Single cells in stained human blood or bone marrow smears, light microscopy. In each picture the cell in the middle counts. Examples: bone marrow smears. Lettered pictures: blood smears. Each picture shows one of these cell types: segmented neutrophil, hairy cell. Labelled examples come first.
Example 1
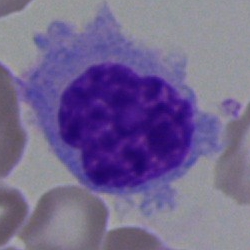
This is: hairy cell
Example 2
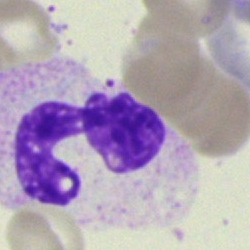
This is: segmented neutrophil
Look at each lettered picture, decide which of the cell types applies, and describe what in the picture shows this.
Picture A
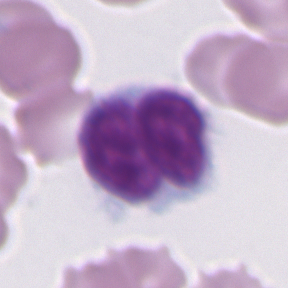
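hairy cell. The nucleus fills most of the cell.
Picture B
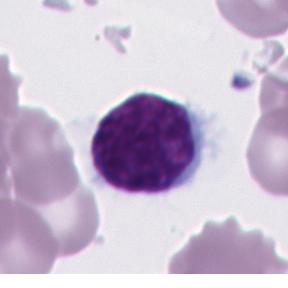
hairy cell. The cytoplasm forms only a thin rim around the nucleus.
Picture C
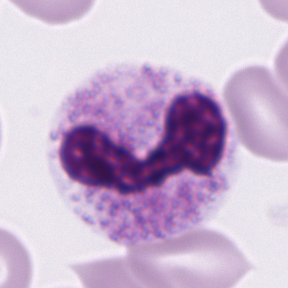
segmented neutrophil. The nucleus has two lobes joined by a thick band.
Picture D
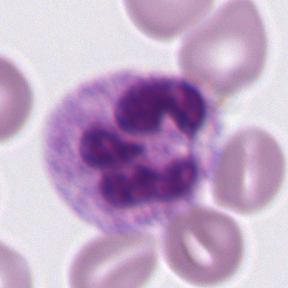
segmented neutrophil. The nucleus is surrounded by plentiful pale pinkish-lilac cytoplasm.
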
